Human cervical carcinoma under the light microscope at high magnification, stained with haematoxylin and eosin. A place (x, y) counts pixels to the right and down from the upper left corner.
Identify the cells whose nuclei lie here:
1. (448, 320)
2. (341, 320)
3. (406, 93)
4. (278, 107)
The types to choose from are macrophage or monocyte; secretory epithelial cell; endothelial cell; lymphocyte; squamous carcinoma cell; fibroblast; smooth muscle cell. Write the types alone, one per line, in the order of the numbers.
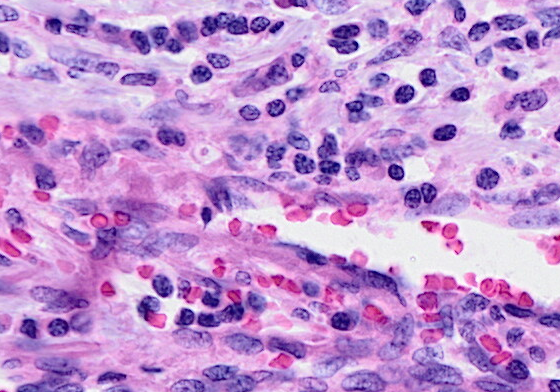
endothelial cell
lymphocyte
lymphocyte
lymphocyte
